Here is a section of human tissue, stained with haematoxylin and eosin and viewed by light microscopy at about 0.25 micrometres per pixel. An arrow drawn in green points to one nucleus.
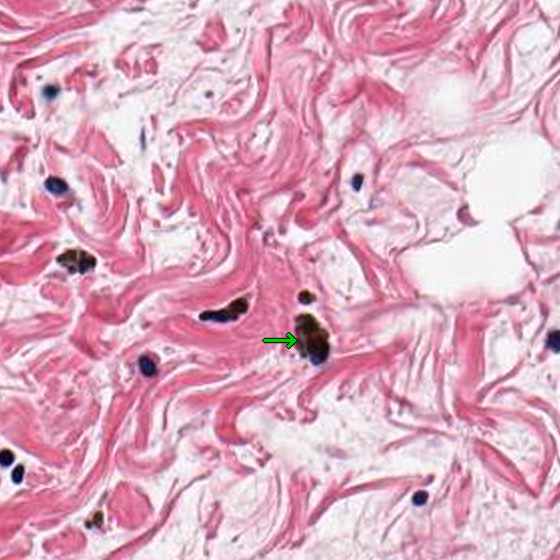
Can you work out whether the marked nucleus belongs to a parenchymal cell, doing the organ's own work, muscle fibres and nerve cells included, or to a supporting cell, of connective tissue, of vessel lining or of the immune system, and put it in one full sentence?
The marked nucleus is assigned to a supporting cell.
